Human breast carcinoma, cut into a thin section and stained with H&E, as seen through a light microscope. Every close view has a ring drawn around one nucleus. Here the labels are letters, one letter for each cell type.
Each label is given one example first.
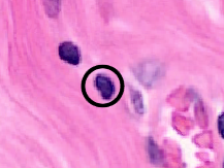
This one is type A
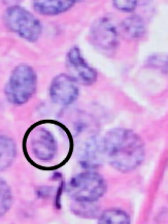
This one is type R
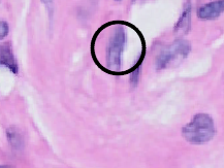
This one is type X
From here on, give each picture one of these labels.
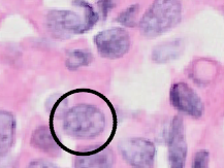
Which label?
type R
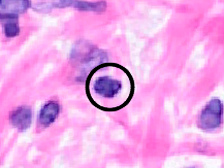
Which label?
type A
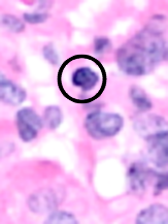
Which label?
type A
